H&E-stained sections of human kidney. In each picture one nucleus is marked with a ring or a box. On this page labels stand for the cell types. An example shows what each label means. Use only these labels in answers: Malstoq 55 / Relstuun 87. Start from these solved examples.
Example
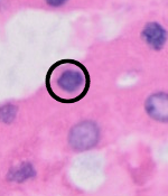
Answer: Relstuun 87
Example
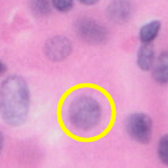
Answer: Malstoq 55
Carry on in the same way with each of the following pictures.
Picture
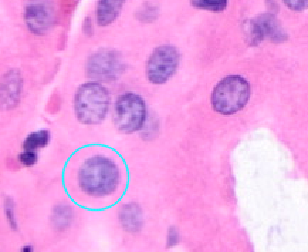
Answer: Relstuun 87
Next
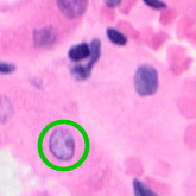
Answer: Malstoq 55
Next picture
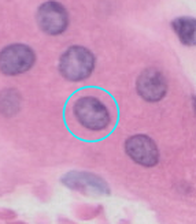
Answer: Malstoq 55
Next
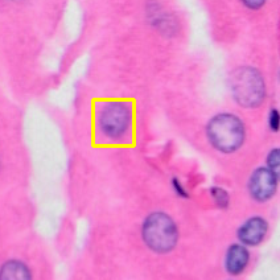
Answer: Malstoq 55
